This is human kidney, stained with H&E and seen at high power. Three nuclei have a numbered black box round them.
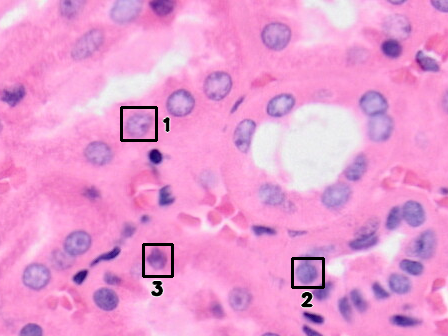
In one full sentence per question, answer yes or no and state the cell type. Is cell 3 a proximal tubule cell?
Yes, the cell carrying label 3 is a proximal tubule cell.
